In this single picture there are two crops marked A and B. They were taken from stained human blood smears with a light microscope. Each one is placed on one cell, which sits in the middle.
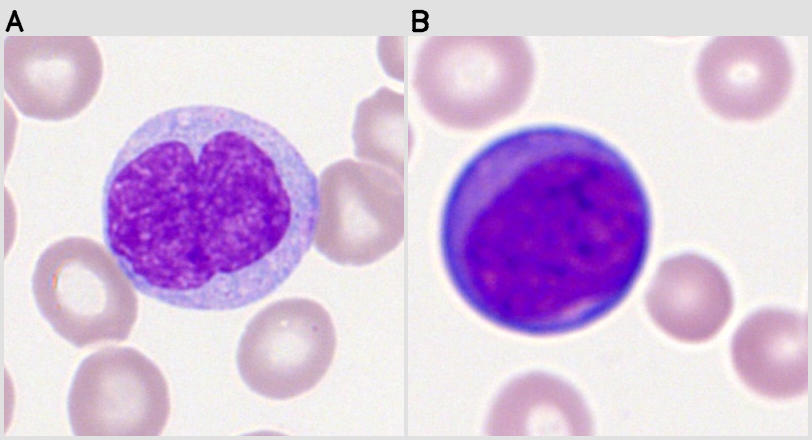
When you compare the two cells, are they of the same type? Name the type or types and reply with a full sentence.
No, crop A gives us a monocyte and crop B gives us a blast.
